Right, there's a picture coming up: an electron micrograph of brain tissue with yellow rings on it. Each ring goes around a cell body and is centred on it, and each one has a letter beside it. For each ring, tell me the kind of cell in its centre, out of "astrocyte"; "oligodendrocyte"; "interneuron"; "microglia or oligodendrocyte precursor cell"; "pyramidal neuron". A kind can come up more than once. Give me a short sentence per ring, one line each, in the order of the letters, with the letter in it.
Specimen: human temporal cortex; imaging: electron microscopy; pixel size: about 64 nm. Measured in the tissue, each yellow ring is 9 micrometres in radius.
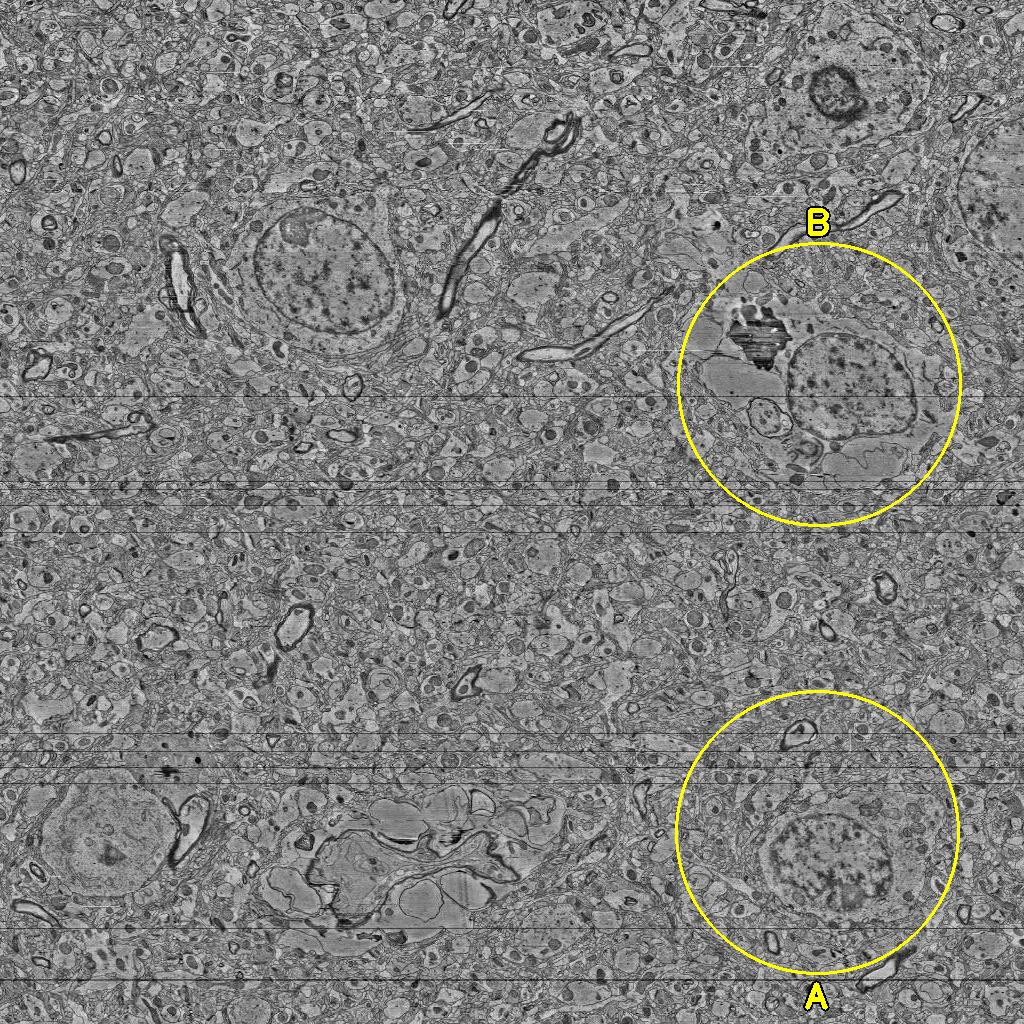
That's an interneuron in ring A.
That's an astrocyte in ring B.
